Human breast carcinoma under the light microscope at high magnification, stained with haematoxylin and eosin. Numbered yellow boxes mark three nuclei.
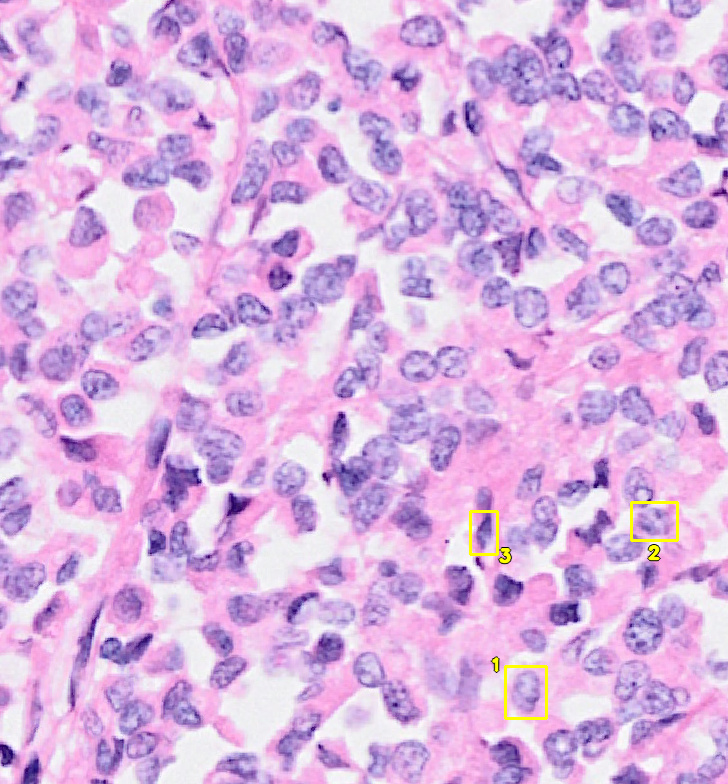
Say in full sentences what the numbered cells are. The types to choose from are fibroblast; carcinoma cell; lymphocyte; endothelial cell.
Cells 1 and 2 are carcinoma cells. Cell 3 is an endothelial cell.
